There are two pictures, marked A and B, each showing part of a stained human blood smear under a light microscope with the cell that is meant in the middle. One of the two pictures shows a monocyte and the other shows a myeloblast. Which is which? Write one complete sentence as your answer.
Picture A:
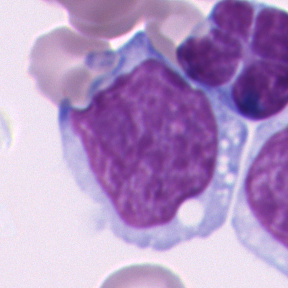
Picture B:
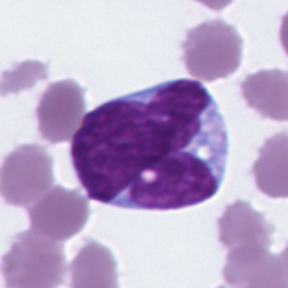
The cell in picture A is a myeloblast, and the one in picture B is a monocyte.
